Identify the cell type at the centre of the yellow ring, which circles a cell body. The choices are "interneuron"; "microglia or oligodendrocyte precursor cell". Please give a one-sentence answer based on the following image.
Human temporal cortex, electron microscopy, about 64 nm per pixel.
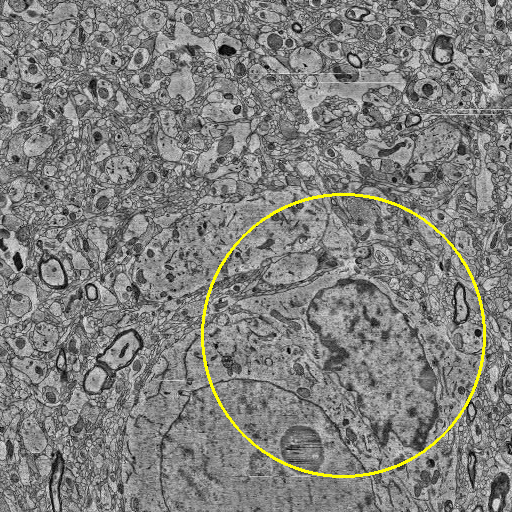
The cell marked by the ring is a microglial cell or oligodendrocyte precursor cell.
